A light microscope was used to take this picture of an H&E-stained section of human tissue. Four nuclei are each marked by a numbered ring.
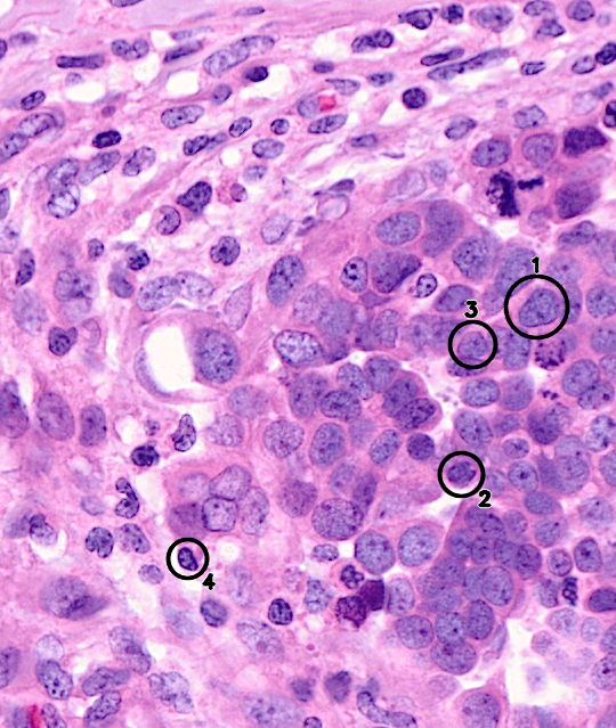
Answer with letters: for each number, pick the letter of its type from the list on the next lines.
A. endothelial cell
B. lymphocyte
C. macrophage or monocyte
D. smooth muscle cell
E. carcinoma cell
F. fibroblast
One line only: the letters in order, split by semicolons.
E; E; E; B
